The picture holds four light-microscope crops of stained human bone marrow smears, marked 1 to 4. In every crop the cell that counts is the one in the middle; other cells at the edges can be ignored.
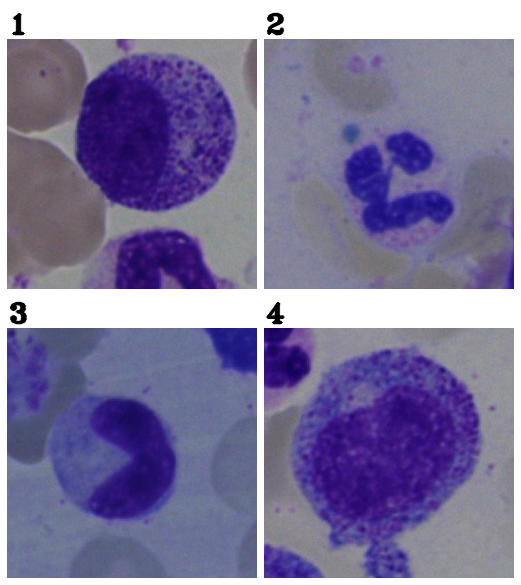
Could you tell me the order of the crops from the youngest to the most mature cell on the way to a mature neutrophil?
4, 1, 3, 2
